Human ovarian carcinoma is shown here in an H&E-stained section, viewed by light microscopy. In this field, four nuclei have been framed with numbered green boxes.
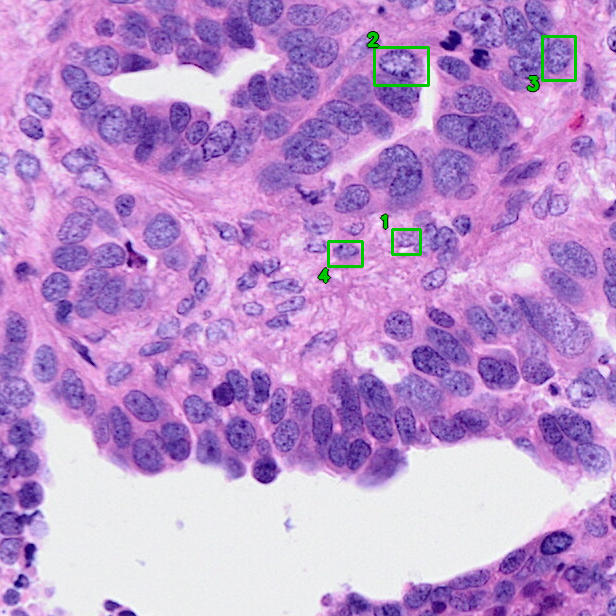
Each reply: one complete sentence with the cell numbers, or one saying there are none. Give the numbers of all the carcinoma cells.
The cells the numbers 2 and 3 point to are carcinoma cells.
